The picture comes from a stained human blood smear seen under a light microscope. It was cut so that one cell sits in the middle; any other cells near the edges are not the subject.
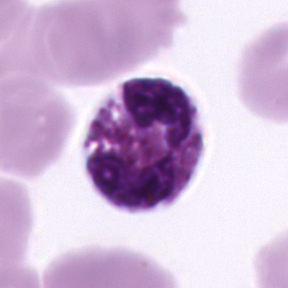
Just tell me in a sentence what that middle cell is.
The crop shows an eosinophil in its centre.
